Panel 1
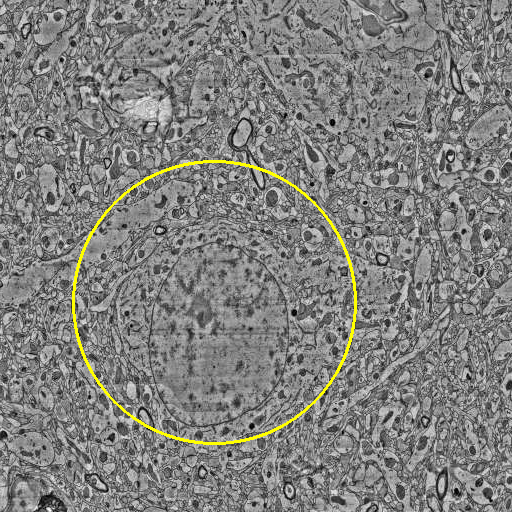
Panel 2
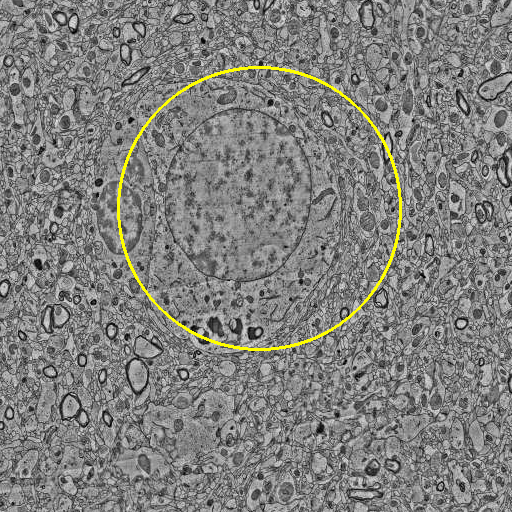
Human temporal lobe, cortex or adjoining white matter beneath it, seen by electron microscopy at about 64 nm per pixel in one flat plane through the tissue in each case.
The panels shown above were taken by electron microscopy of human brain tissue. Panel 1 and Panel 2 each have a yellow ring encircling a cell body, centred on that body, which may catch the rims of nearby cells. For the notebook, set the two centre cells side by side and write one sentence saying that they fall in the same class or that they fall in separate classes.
The centred cells of Panel 1 and Panel 2 fall in the same class.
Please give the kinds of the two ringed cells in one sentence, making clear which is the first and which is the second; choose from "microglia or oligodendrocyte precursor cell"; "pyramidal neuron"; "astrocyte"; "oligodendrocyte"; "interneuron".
The ring centre holds a pyramidal neuron in each of the two pictures.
